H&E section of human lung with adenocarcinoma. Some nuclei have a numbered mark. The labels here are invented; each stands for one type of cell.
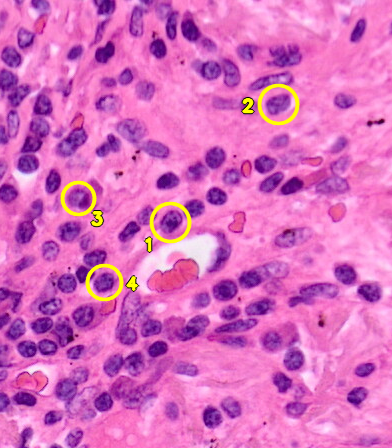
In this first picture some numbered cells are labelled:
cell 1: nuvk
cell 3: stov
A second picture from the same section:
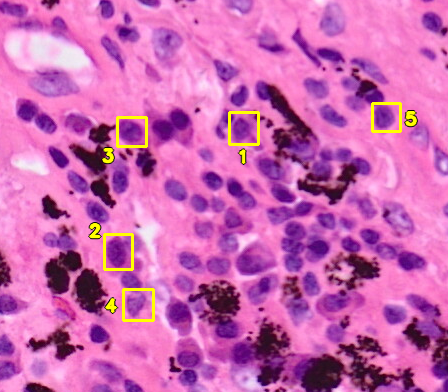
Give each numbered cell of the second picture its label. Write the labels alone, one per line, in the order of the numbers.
stov
stov
stov
nuvk
nuvk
